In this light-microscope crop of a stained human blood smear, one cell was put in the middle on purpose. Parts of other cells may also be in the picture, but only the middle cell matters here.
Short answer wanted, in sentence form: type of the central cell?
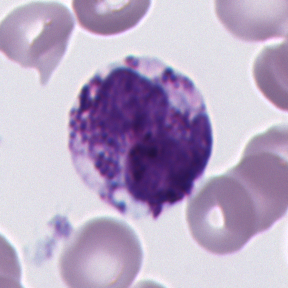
The centered cell in this crop is a basophil.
